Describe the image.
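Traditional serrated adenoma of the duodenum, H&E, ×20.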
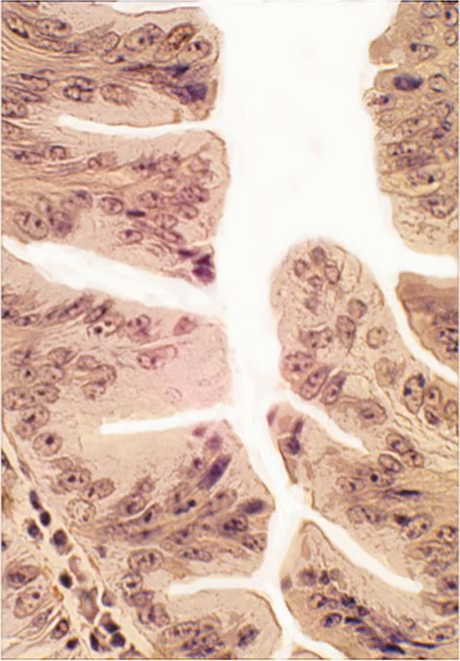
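The cells have pale, faintly pink cytoplasm and oval to elongated nuclei, many with vesicular chromatin and small nucleoli. The nuclei lie at varying levels within the epithelium. A few darker, more elongated nuclei are scattered among them.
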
